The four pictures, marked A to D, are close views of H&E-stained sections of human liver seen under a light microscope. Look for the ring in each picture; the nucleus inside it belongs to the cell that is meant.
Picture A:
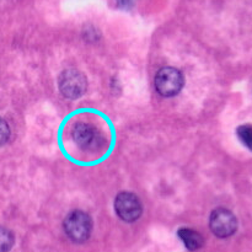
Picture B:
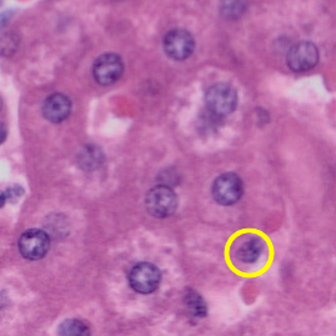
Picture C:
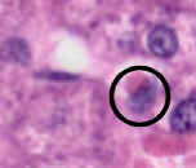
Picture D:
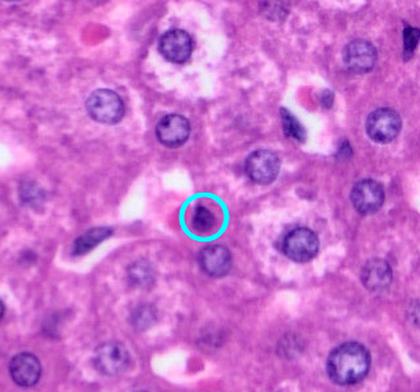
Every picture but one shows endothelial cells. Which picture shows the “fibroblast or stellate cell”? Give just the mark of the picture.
D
